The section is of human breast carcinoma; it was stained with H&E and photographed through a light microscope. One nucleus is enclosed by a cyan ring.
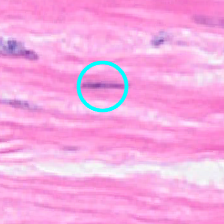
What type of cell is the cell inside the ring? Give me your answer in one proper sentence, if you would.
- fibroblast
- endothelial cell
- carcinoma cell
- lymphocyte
In terms of identity, the cell inside the ring is a fibroblast.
